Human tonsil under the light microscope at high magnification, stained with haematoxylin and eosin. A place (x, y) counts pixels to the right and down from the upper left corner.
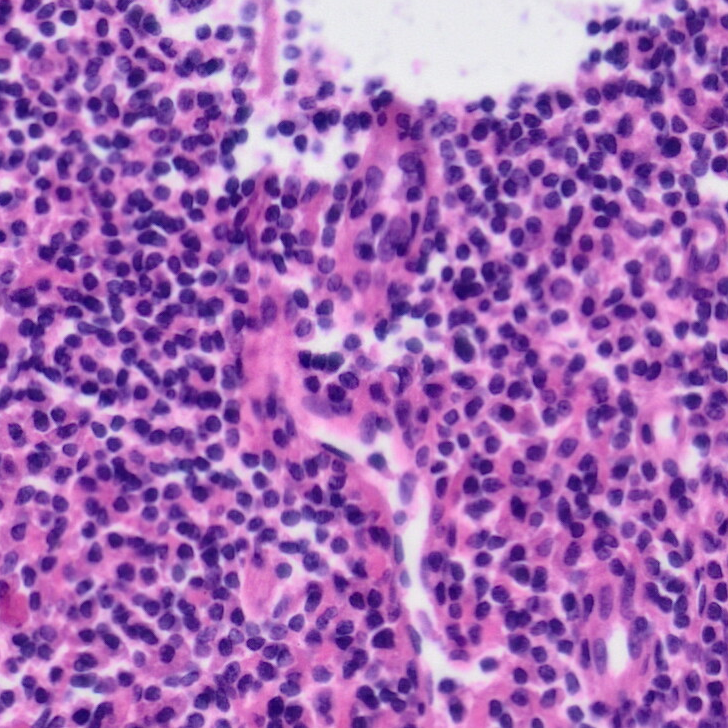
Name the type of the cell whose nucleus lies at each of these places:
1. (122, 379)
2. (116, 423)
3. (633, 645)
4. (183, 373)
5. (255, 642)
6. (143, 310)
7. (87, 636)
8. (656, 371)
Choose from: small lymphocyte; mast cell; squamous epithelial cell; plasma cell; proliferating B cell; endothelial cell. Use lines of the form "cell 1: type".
cell 1: small lymphocyte
cell 2: small lymphocyte
cell 3: endothelial cell
cell 4: small lymphocyte
cell 5: small lymphocyte
cell 6: small lymphocyte
cell 7: plasma cell
cell 8: plasma cell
